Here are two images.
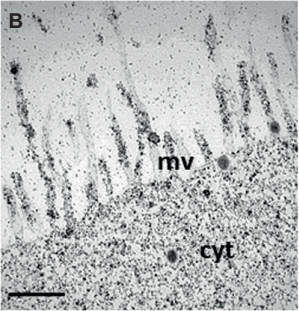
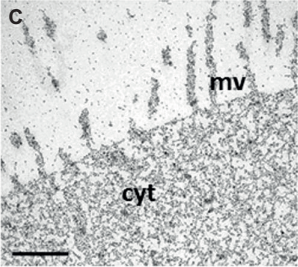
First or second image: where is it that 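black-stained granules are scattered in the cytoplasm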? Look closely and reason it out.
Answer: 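Second image: the cytoplasm is uniformly grey-speckled without dense black particles. First image: distinct black dots are scattered through the cytoplasm and over the projections. So: the first image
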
